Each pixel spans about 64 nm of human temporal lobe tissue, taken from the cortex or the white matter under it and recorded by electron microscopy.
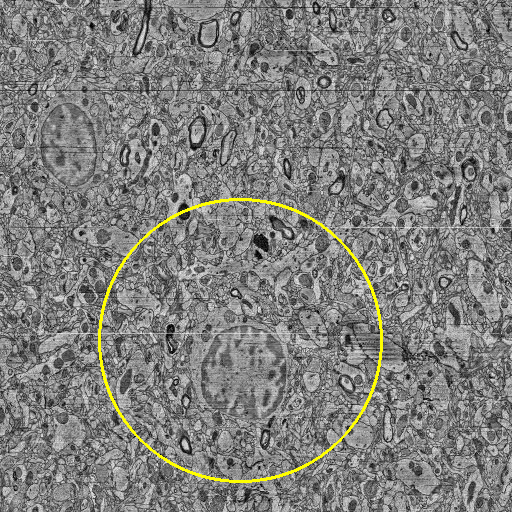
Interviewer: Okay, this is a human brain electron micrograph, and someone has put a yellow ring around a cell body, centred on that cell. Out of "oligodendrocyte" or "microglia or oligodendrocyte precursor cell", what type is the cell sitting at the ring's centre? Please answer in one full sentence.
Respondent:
The cell at the centre of the yellow ring in this picture is an oligodendrocyte.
